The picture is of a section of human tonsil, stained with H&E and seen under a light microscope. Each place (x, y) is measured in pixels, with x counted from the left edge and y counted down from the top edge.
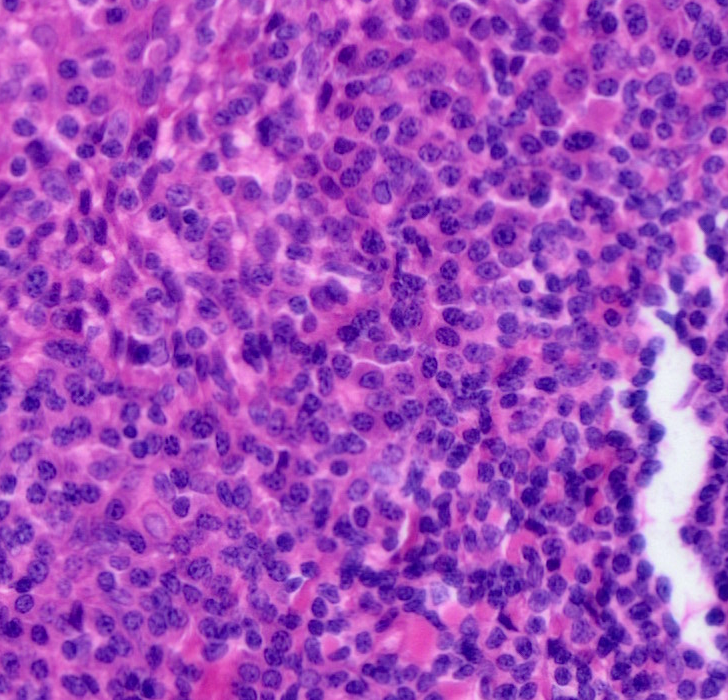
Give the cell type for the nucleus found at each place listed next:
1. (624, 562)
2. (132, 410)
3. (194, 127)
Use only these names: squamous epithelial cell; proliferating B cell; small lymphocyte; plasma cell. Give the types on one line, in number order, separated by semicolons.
small lymphocyte; plasma cell; squamous epithelial cell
